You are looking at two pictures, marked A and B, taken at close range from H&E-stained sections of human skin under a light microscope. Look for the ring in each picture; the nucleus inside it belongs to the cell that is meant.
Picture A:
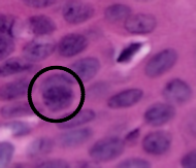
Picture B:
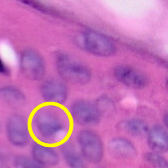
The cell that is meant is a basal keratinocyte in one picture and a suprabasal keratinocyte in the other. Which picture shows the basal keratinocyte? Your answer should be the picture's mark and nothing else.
A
